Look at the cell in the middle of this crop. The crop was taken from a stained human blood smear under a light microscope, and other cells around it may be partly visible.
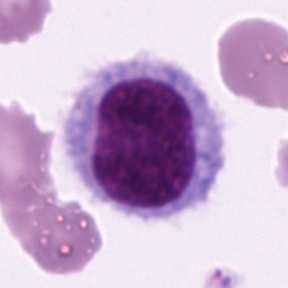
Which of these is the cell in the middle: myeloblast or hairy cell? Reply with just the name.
hairy cell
